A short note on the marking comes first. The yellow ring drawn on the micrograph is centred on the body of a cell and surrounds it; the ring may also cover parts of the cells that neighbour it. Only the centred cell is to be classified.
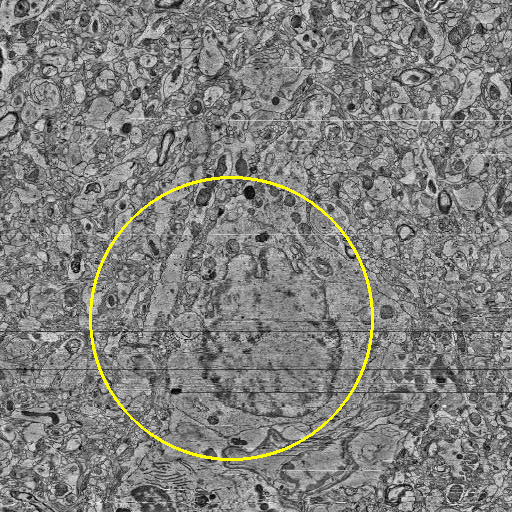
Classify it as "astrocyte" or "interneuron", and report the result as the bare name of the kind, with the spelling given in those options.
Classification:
interneuron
